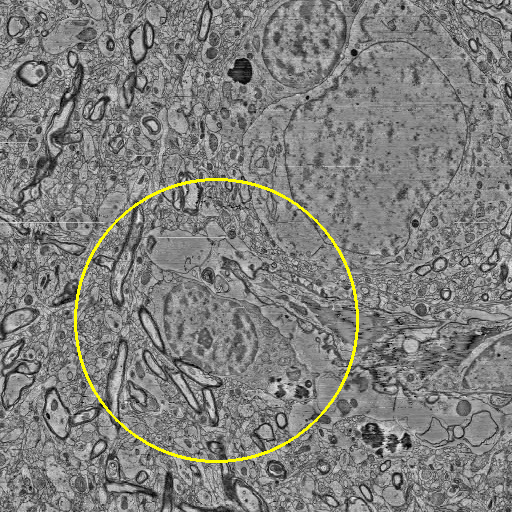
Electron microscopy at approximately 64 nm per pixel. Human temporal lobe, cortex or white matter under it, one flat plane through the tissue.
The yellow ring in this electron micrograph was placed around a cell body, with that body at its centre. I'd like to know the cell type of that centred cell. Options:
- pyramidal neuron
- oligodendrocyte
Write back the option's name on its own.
oligodendrocyte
